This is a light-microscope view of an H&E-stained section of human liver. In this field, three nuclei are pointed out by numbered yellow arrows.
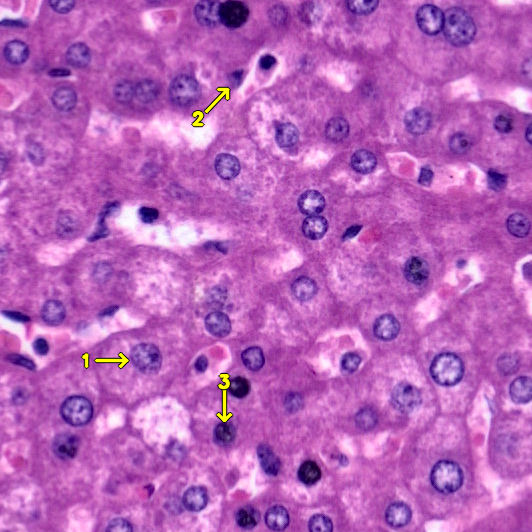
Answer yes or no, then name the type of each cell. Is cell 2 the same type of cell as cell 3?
No, just to clarify, cell 2 is a Kupffer cell and cell 3 is a hepatocyte.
